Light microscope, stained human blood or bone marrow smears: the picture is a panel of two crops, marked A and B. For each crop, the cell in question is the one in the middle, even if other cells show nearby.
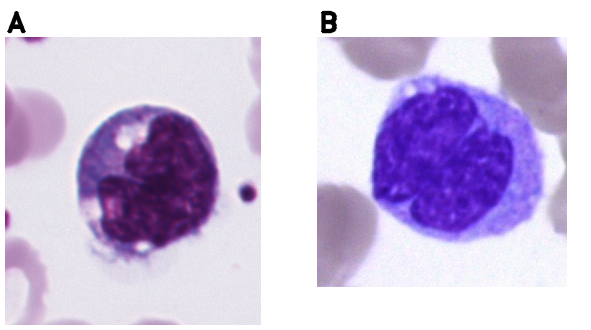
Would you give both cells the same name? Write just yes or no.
yes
